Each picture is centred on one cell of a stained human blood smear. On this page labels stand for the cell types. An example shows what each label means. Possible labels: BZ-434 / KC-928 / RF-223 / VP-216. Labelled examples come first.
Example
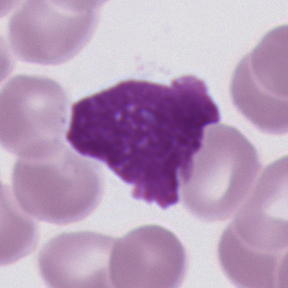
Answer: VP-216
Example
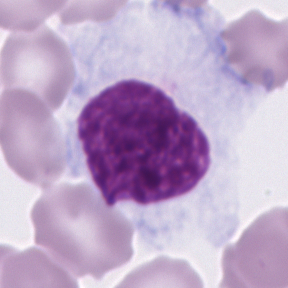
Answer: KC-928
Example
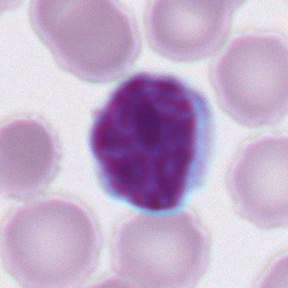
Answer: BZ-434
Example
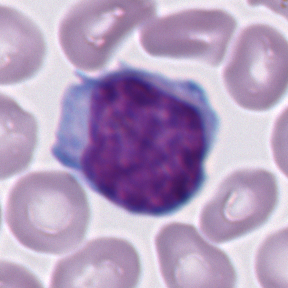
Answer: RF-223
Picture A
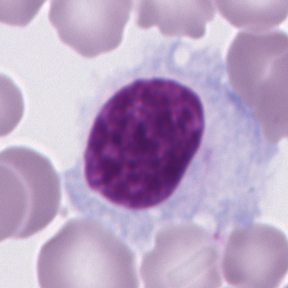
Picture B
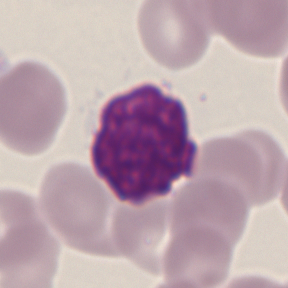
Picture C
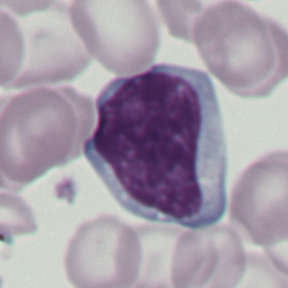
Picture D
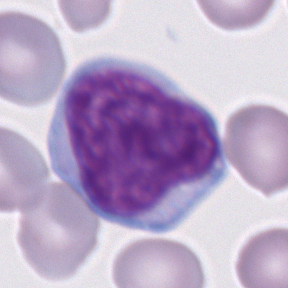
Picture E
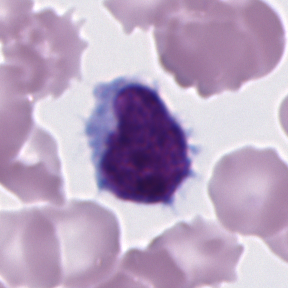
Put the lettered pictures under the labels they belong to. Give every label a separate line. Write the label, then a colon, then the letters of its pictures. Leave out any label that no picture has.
BZ-434: C
KC-928: A, E
RF-223: D
VP-216: B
